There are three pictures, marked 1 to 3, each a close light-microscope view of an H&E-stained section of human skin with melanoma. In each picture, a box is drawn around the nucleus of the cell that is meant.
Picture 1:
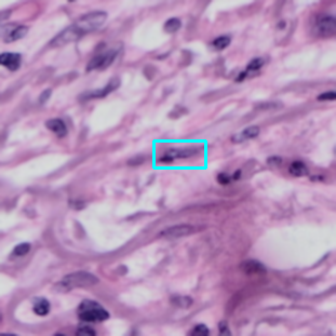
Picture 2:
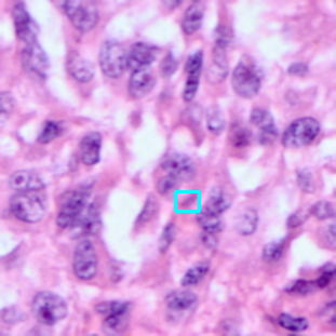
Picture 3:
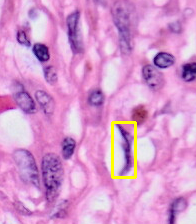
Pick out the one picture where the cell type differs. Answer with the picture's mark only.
2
